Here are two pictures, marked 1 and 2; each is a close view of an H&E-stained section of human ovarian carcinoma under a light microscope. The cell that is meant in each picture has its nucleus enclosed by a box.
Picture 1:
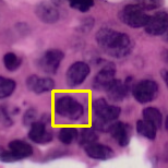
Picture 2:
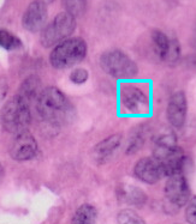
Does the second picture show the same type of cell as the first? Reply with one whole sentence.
No. Picture 1 shows a carcinoma cell, but picture 2 shows an endothelial cell.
